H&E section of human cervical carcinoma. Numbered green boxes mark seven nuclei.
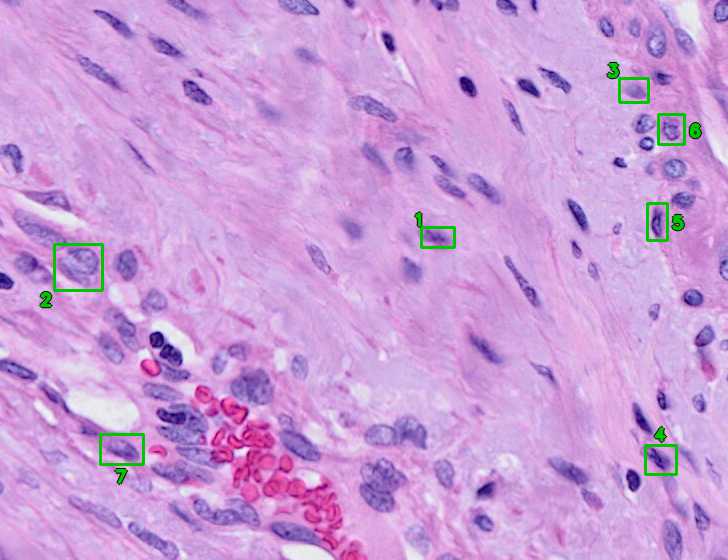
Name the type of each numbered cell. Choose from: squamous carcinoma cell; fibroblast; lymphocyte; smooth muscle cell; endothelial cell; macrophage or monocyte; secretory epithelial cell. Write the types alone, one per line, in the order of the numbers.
smooth muscle cell
endothelial cell
smooth muscle cell
endothelial cell
smooth muscle cell
smooth muscle cell
endothelial cell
